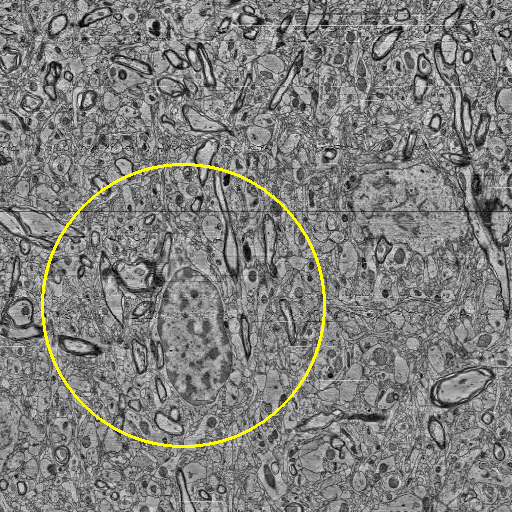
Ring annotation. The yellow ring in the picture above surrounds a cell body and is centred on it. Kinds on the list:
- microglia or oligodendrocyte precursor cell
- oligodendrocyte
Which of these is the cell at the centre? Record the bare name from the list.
microglia or oligodendrocyte precursor cell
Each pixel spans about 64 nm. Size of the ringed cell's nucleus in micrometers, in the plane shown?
About 9 by 4 micrometres; in this plane the nucleus is clearly longer than it is wide.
